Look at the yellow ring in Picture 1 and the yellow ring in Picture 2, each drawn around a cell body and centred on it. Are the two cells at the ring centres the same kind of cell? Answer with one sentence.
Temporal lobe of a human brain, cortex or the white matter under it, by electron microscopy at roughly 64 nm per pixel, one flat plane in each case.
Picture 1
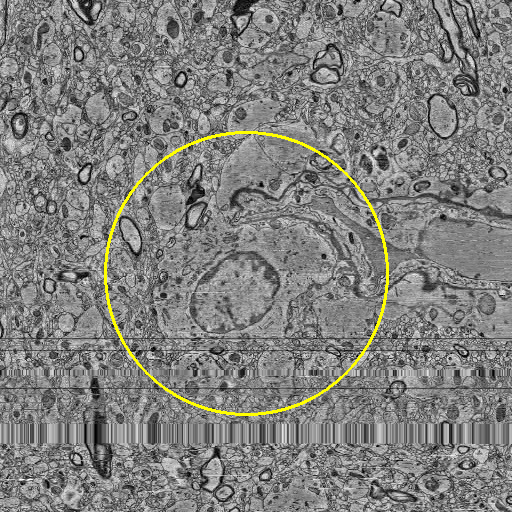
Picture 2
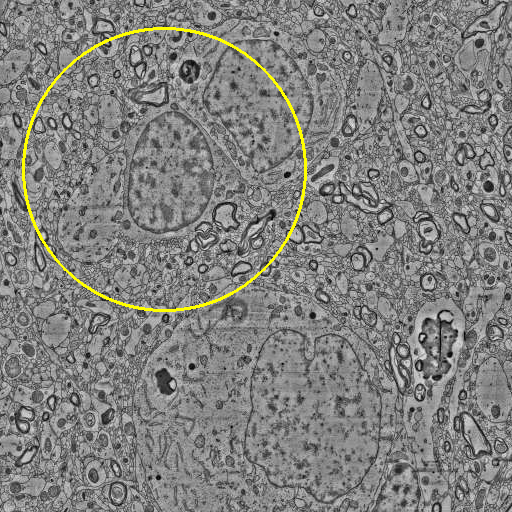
No, they are cells of two kinds.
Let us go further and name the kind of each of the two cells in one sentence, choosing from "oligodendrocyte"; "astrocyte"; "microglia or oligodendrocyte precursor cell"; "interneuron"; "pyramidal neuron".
The ring of the first picture is on a microglial cell or oligodendrocyte precursor cell, the ring of the second on an oligodendrocyte.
